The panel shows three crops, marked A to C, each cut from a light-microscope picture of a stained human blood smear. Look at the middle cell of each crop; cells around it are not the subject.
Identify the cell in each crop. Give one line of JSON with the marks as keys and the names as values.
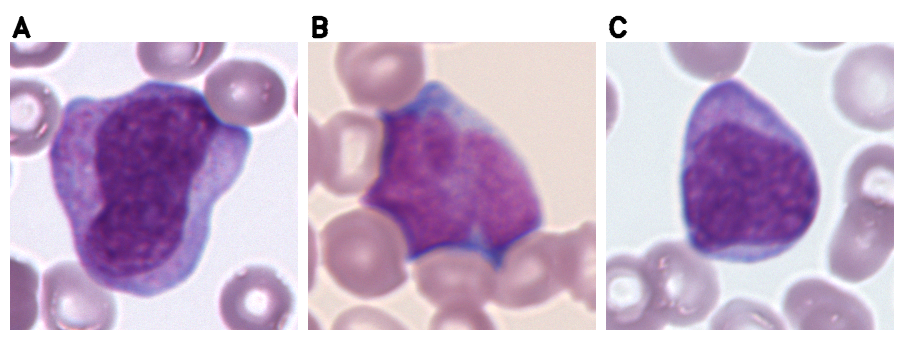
{"A": "atypical promyelocyte", "B": "myeloblast", "C": "atypical promyelocyte"}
